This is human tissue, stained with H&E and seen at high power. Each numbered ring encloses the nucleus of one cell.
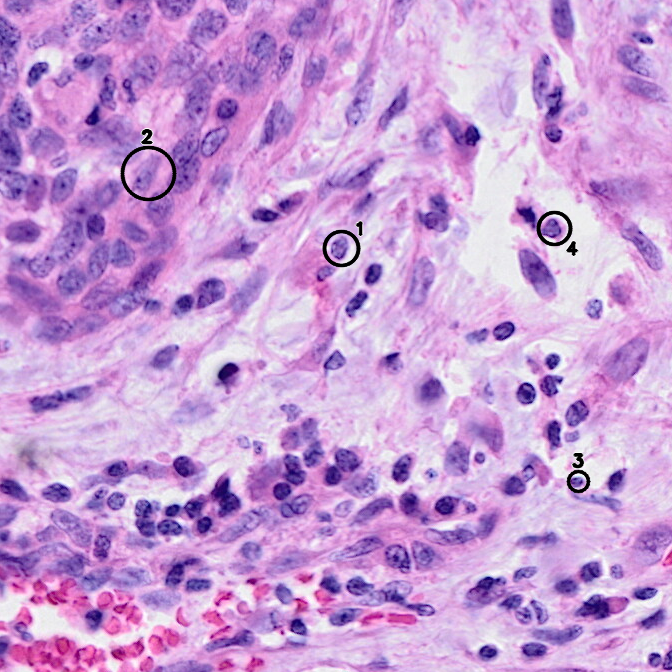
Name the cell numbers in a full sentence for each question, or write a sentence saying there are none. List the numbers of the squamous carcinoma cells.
Whereas cell 2 is a squamous carcinoma cell, the other numbered cells are not.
